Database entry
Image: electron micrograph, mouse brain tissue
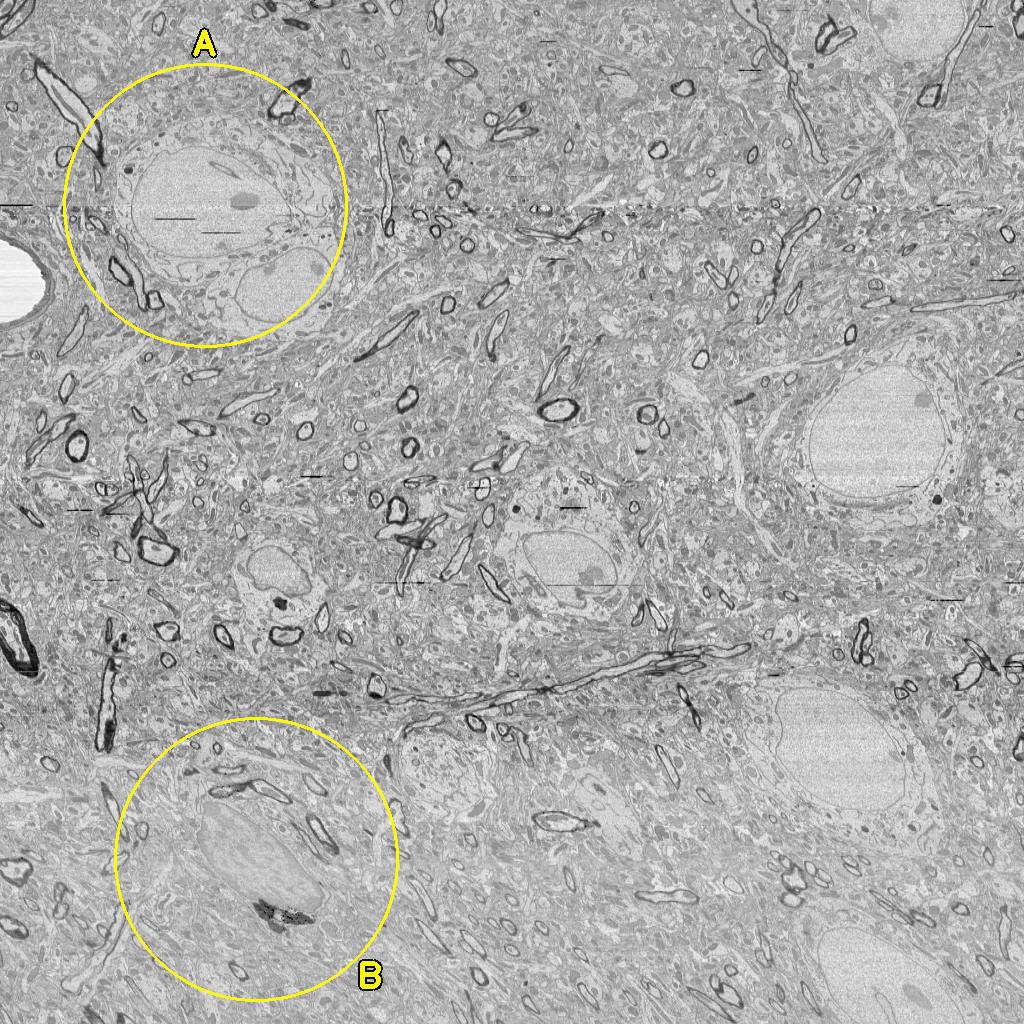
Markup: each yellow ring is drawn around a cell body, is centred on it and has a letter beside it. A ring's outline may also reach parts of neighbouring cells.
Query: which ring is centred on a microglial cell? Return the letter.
B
